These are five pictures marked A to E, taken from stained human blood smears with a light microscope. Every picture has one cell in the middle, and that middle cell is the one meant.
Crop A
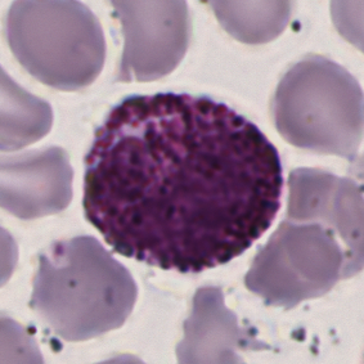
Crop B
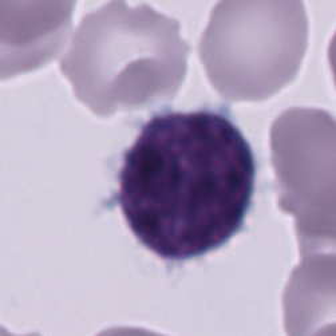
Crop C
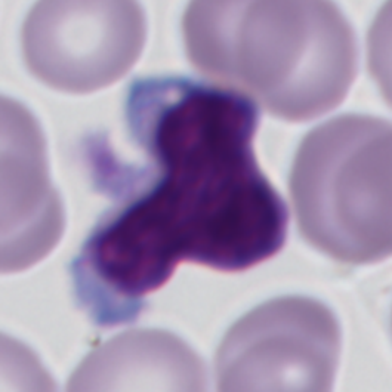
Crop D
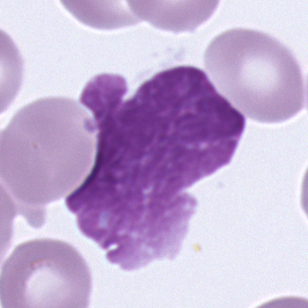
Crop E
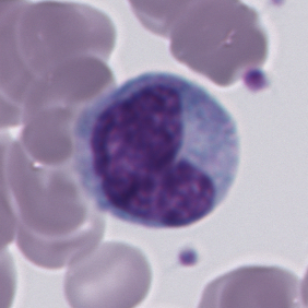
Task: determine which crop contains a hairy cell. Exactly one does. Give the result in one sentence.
Crop B, of the crops presented, is the one showing a hairy cell.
